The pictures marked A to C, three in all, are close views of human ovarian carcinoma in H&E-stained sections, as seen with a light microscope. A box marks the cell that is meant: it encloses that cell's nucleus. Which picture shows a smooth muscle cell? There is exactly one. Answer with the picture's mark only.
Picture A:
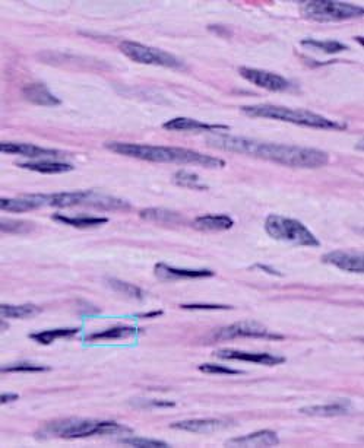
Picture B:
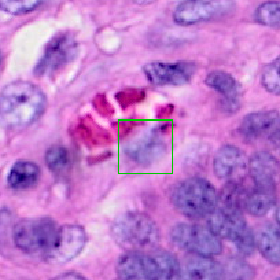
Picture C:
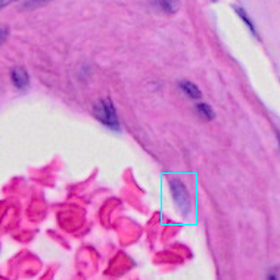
A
